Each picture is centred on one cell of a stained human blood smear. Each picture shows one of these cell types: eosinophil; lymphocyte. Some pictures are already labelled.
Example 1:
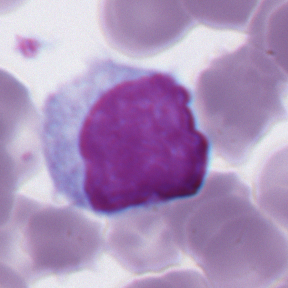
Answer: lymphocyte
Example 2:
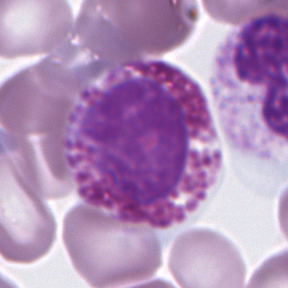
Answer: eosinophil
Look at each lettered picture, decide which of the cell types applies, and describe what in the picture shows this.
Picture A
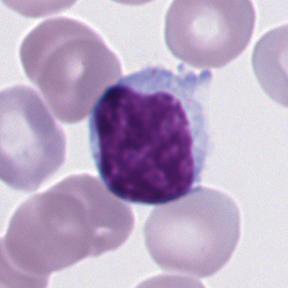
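Answer: lymphocyte. A few fine pinkish-purple granules lie in the cytoplasm above the nucleus.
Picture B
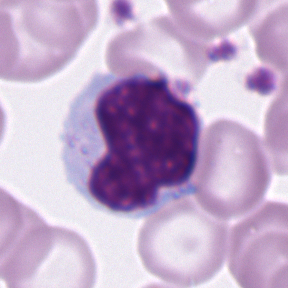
Answer: lymphocyte. A few fine purplish granules are scattered in the cytoplasm.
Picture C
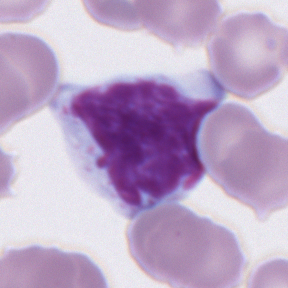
Answer: lymphocyte. A few small reddish-purple granules lie in the cytoplasm on the left side.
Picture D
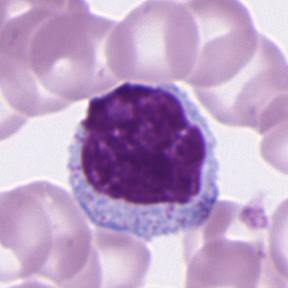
Answer: lymphocyte. The cytoplasm holds scattered fine reddish-purple granules.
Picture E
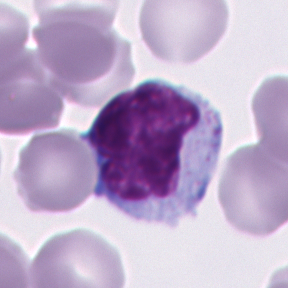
Answer: lymphocyte. Fine, scattered purplish specks lie in the cytoplasm.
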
